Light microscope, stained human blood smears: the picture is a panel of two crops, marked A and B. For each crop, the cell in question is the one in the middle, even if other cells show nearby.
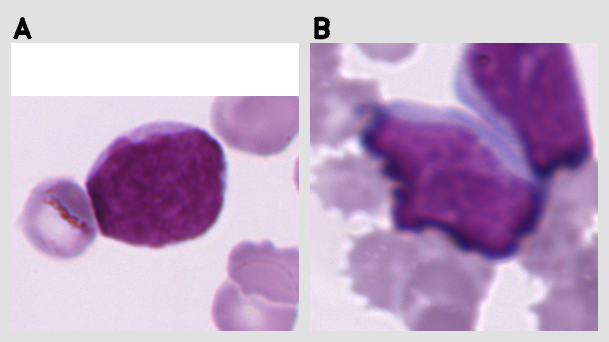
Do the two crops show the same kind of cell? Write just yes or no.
yes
